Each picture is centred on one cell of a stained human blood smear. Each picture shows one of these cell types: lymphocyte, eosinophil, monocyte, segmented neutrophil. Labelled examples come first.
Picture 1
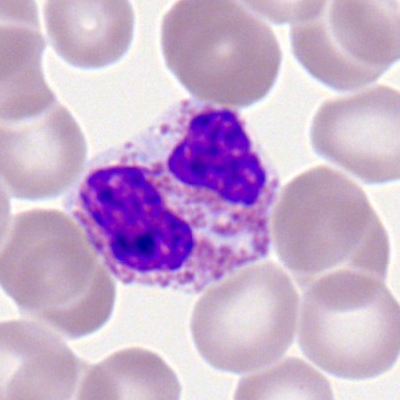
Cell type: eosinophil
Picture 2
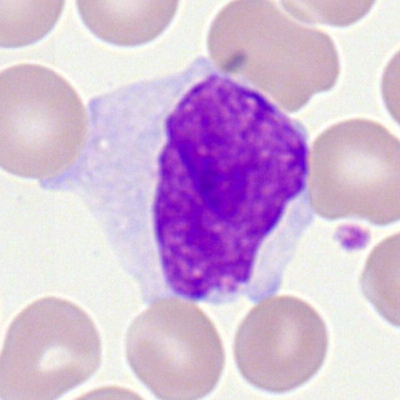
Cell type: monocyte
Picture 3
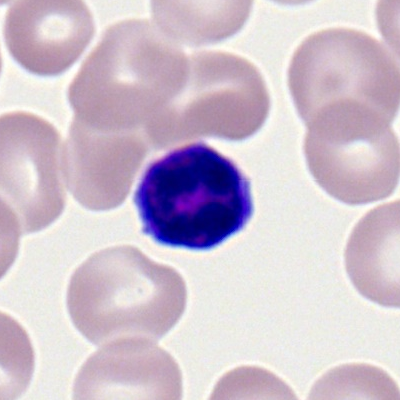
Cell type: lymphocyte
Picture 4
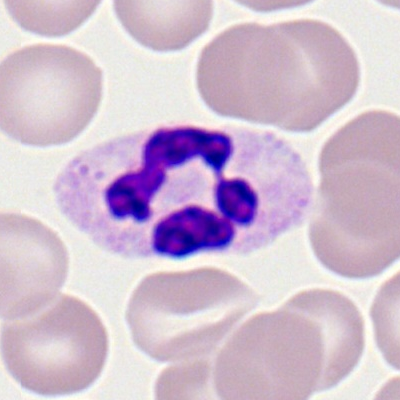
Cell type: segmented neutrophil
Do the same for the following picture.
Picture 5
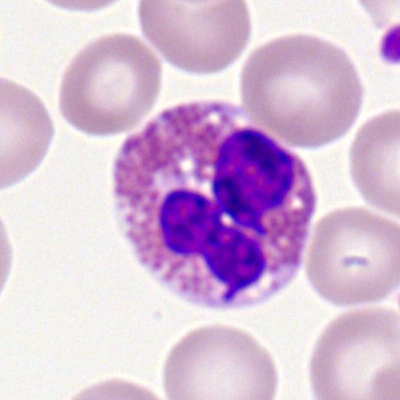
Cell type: eosinophil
